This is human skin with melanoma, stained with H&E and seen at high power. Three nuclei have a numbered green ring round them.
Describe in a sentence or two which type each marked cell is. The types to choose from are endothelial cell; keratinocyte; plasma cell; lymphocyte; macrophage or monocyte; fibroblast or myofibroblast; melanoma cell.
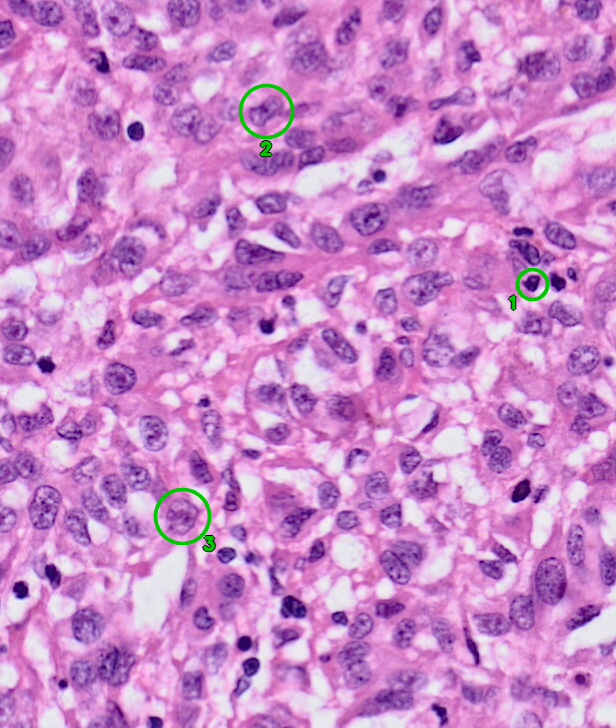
Cell 1 is a lymphocyte. Cells 2 and 3 are melanoma cells.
